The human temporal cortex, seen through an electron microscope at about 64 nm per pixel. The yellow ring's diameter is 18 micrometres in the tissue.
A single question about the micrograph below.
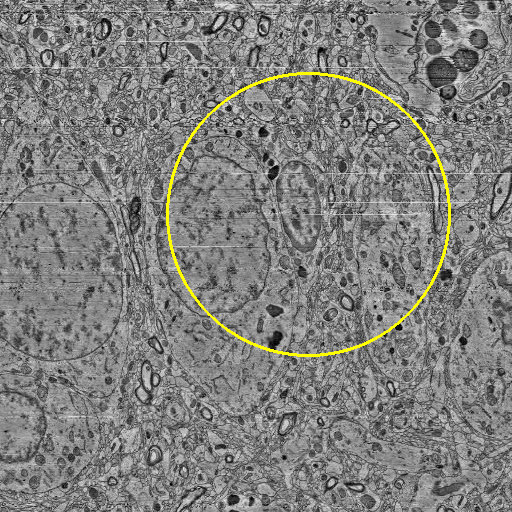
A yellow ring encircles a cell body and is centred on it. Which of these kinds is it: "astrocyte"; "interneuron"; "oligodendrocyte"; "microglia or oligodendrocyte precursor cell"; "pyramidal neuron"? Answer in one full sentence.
The cell body at the centre of the yellow ring belongs to a microglial cell or oligodendrocyte precursor cell.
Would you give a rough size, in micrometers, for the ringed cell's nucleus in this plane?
In this plane, approximately 6 by 3 micrometers.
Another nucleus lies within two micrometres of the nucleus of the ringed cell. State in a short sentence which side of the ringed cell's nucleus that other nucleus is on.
That other nucleus is to the left of it.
